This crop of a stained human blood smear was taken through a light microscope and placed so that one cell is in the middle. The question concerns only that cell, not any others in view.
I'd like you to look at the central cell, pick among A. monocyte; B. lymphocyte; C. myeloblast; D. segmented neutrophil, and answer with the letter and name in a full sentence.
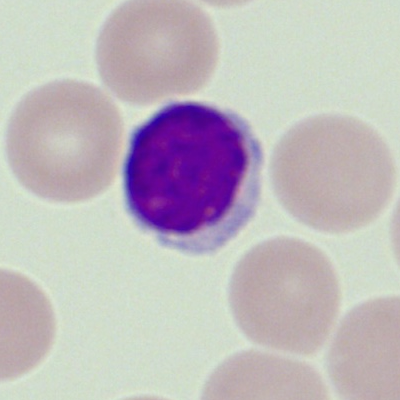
That middle cell is a lymphocyte, and option B is therefore correct.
